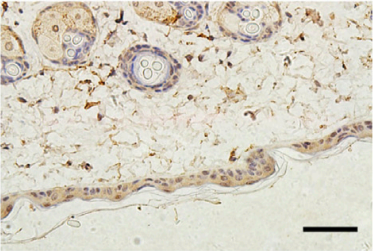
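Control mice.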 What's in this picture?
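This is a section of skin with a thin epidermis running along the lower edge and a loose dermis above it containing several hair follicles cut in cross-section. The epidermal cells and many scattered cells in the dermis are stained brown, while nuclei appear blue to brown. The dermis is loosely arranged with wide pale spaces between its scattered cells.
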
